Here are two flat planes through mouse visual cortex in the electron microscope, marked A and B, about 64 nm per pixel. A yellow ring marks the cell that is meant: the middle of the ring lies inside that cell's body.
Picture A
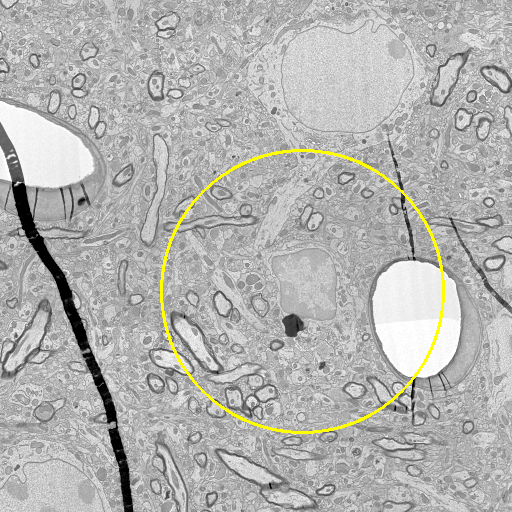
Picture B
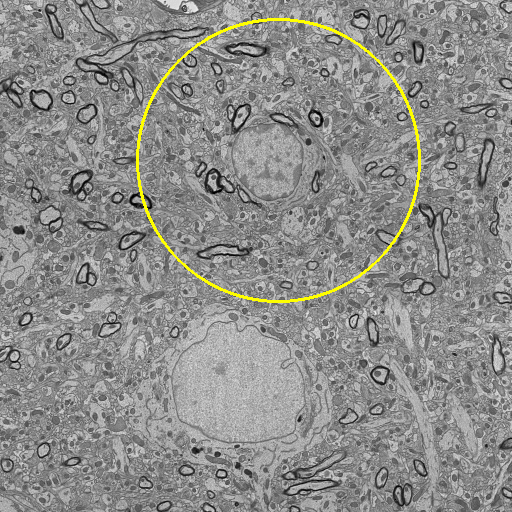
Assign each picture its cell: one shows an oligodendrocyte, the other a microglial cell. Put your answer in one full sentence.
In picture A the cell is a microglial cell; in picture B, an oligodendrocyte.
